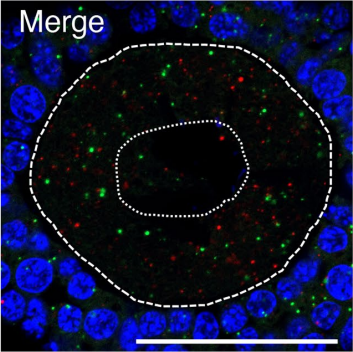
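This is a section through an ovarian follicle, with a large oocyte in the middle outlined by a dashed line and surrounded by layers of small granulosa cells. The granulosa cells show as tightly packed small oval blue nuclei forming a ring around the oocyte. Inside the oocyte, a large central germinal vesicle, outlined by a dotted line, is largely dark, while the surrounding cytoplasm holds scattered fine green and red dots. The green and red dots lie mostly apart from one another rather than overlapping.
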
